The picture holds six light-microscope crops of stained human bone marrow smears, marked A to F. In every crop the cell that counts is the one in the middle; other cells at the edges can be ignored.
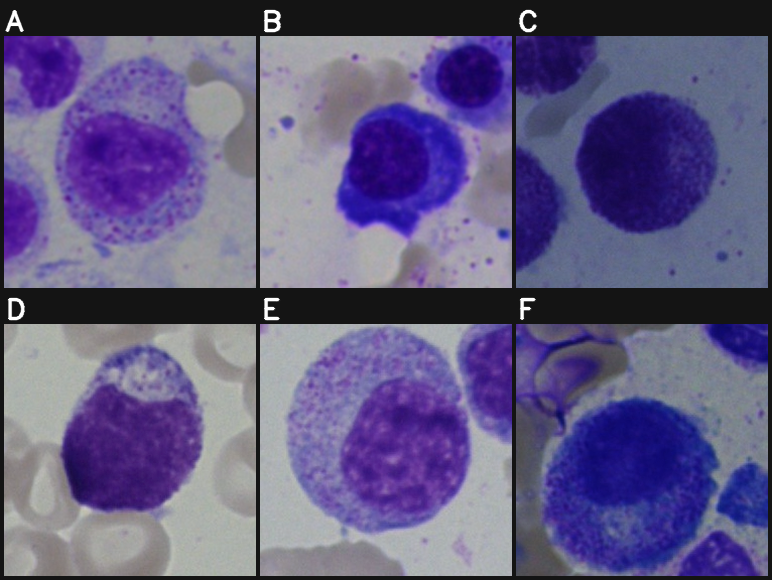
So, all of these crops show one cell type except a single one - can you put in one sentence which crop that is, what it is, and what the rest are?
Differing from the rest, crop B shows a plasma cell; the others all show myelocytes.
